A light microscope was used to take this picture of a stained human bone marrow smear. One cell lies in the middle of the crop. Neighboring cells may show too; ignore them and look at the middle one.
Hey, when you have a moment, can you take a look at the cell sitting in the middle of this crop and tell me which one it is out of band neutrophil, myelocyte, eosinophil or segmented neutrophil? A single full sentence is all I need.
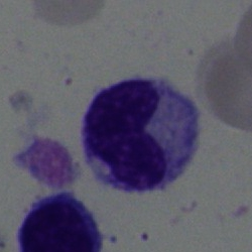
The identification for the central cell is a band neutrophil.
